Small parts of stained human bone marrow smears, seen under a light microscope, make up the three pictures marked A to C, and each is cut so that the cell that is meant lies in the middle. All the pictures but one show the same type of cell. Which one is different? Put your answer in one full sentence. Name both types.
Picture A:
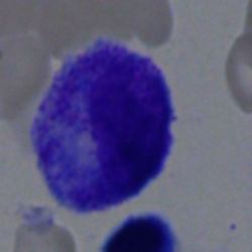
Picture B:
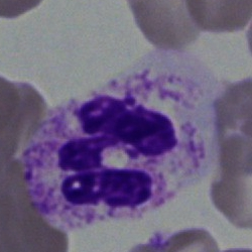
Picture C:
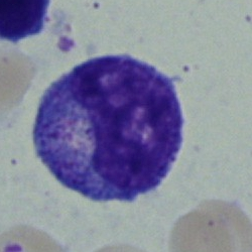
Unlike the rest, which show myelocytes, picture B shows a segmented neutrophil.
